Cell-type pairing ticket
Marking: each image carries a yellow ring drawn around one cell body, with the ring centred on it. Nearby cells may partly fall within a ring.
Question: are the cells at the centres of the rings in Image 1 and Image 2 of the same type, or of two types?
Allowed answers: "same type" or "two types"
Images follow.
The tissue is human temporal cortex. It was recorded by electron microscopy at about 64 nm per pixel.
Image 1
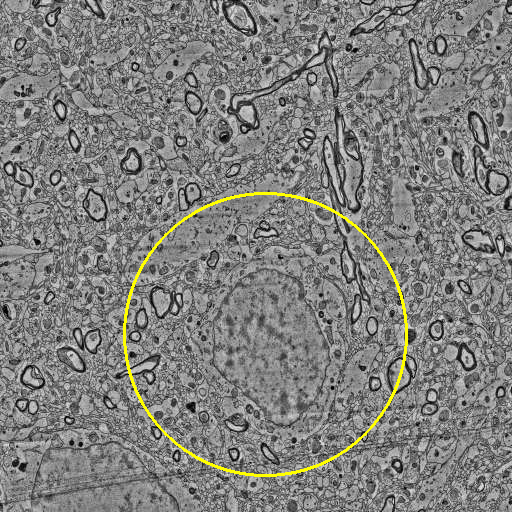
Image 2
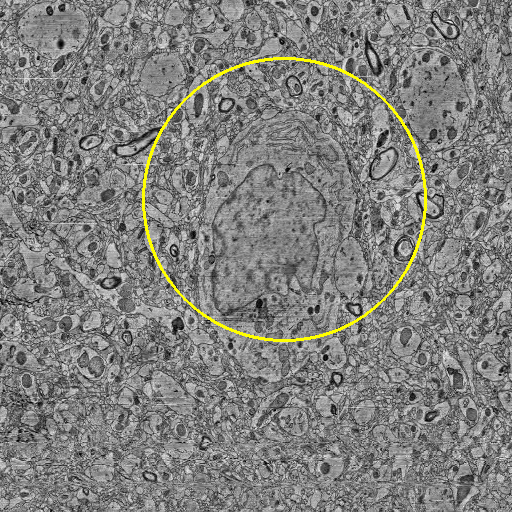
same type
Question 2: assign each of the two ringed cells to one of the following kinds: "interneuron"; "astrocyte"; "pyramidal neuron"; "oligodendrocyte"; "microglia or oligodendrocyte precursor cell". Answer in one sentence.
Both rings mark an interneuron, one in each picture.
